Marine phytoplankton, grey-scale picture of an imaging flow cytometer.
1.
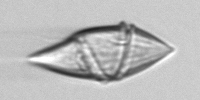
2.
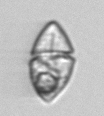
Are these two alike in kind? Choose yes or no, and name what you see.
Yes. Gyrodinium.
